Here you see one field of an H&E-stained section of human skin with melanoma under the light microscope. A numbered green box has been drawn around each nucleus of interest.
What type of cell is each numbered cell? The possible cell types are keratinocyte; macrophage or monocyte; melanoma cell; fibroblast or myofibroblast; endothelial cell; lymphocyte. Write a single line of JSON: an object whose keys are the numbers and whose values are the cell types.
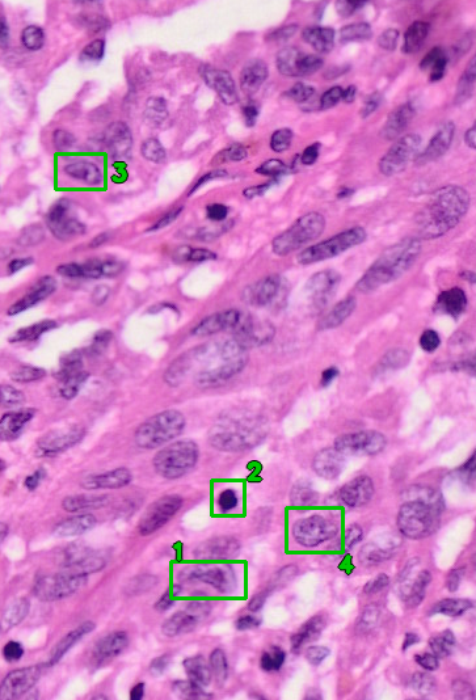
{"1": "melanoma cell", "2": "lymphocyte", "3": "melanoma cell", "4": "melanoma cell"}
